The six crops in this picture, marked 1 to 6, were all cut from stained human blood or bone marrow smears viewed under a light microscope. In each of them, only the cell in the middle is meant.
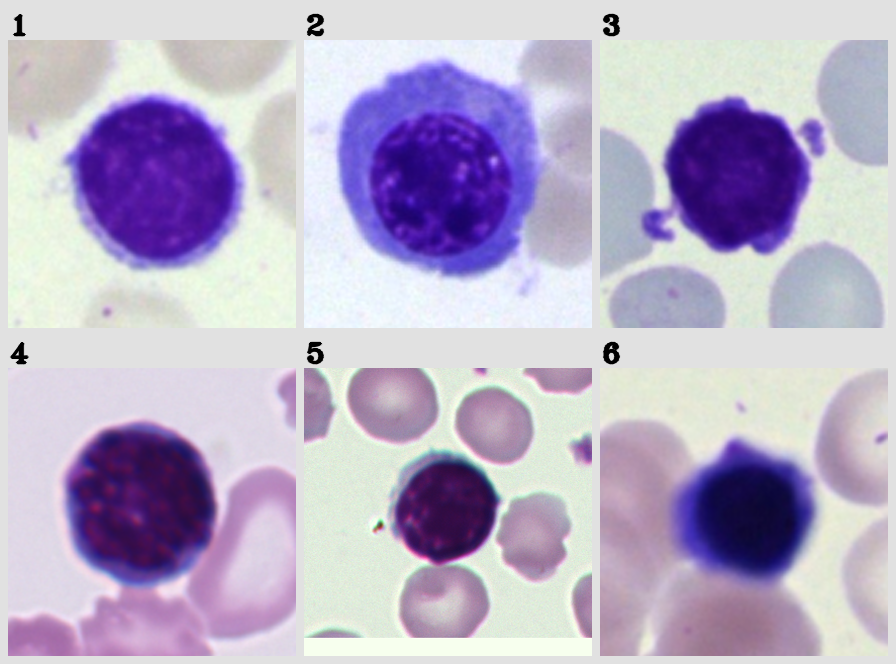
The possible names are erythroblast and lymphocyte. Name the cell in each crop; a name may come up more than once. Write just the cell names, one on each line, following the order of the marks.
lymphocyte
erythroblast
lymphocyte
lymphocyte
lymphocyte
erythroblast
